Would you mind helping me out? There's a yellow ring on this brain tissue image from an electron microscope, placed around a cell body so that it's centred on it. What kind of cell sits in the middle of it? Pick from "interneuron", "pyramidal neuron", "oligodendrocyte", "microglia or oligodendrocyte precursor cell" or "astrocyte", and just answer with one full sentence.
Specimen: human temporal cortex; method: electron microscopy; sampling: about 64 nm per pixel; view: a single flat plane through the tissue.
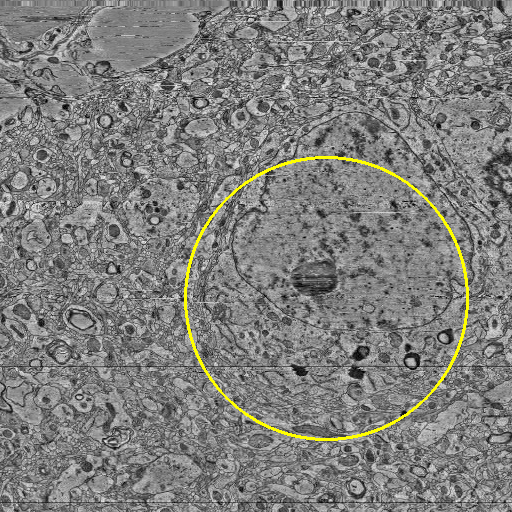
What sits in the middle of that yellow ring is a pyramidal neuron, from your choices.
